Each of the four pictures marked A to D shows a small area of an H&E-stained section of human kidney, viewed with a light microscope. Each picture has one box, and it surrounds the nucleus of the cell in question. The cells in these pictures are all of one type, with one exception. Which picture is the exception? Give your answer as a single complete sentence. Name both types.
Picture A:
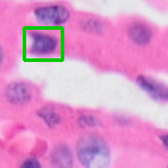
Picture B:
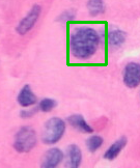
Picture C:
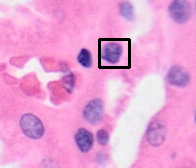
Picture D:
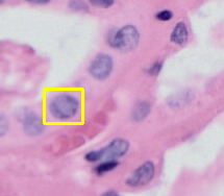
Unlike the rest, which show “loop of Henle or distal tubule cells”, picture D shows a collecting duct cell.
